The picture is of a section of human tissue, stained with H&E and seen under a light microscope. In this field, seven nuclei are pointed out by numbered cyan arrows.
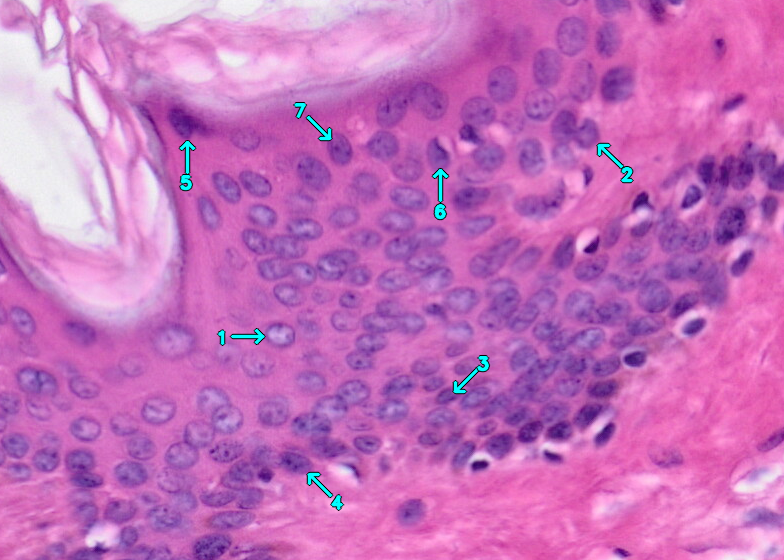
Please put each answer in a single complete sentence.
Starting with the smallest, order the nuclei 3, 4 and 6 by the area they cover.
By area, going up from the smallest, they rank 3, 6, 4.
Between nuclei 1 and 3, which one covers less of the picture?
Nucleus 3 covers less area, with nucleus 1 about 2 times as large.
